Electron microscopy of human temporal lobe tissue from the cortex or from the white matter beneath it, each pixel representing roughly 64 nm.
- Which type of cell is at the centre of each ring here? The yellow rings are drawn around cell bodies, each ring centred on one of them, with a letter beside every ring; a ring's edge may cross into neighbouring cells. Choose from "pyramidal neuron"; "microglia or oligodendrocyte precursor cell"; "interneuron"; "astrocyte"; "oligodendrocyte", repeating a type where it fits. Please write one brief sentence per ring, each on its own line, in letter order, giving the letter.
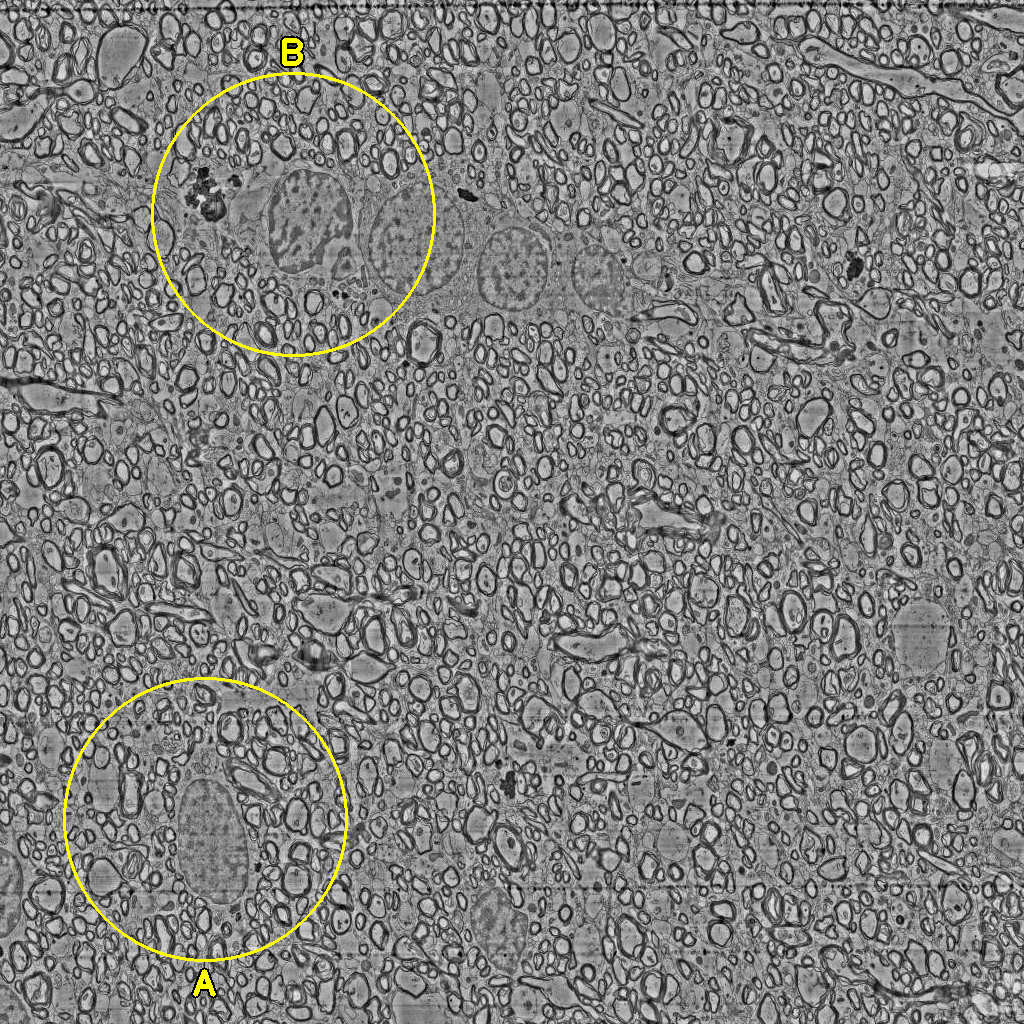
Ring A is centred over an oligodendrocyte.
Ring B is centred over a microglial cell or oligodendrocyte precursor cell.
